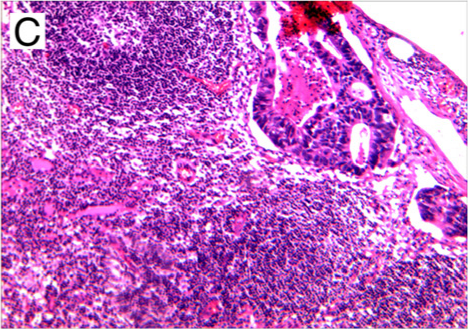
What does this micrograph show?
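Lymph node with lymphoid follicles and gland-forming adenocarcinoma cells. Most of the field is sheets of densely packed small round lymphocytes with dark purple nuclei. In the upper right, tubular glands lined by larger cells with darker, crowded nuclei lie beside the lymphoid tissue, with a small focus of red blood at the top edge.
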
